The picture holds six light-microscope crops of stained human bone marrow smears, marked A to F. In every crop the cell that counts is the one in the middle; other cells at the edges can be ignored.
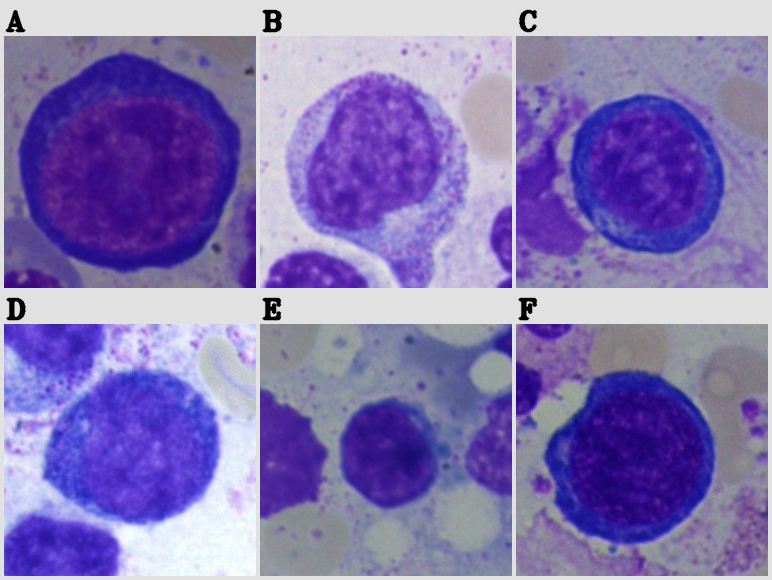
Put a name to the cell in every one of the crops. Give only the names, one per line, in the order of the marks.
proerythroblast
promyelocyte
proerythroblast
proerythroblast
lymphocyte
proerythroblast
